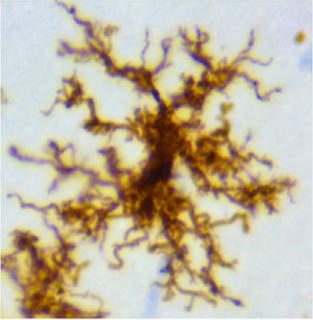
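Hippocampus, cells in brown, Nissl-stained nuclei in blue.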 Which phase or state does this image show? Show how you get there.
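Hypertrophic. Large, darkly stained cell body. Thick, densely branched processes crowded around the cell body.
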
